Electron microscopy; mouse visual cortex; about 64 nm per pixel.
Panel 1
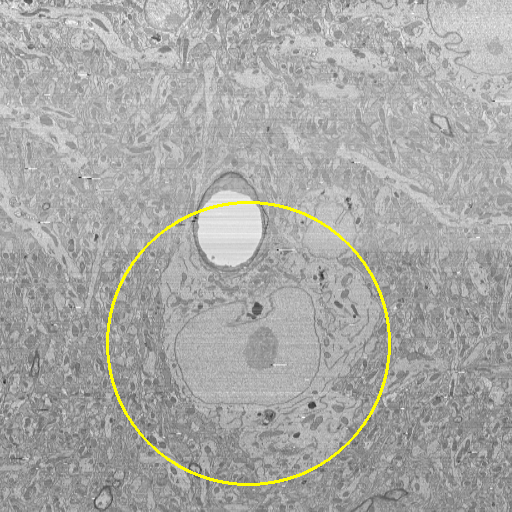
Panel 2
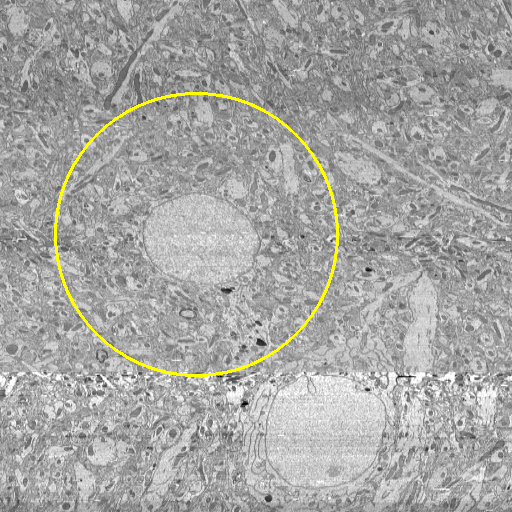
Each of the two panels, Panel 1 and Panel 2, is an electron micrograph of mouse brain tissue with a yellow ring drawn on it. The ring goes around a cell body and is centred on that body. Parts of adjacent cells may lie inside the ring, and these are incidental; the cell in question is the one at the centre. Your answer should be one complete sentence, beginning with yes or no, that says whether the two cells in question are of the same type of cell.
No, the two cells are of two types.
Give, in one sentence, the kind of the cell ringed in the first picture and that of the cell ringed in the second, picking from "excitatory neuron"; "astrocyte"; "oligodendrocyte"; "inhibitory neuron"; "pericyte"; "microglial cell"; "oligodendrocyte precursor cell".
For the first picture it is an excitatory neuron; for the second, an astrocyte.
